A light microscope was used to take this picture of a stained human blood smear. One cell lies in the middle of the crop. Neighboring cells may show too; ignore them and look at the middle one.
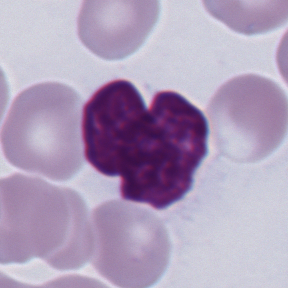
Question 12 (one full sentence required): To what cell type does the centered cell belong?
At the center of the crop sits a smudge cell.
